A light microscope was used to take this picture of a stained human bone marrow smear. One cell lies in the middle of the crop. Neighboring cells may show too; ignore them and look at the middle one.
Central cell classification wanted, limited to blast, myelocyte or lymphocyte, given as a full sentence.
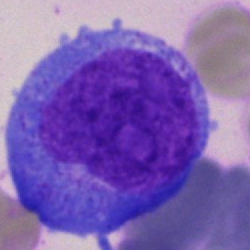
At the center of the crop sits a blast.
